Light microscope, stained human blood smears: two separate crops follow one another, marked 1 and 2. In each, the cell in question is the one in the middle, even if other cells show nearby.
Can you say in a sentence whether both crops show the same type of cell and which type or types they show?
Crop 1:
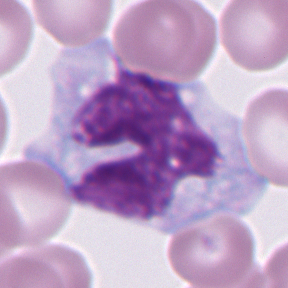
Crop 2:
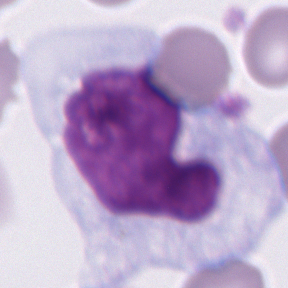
Yes, what both crops show is monocytes.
